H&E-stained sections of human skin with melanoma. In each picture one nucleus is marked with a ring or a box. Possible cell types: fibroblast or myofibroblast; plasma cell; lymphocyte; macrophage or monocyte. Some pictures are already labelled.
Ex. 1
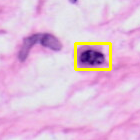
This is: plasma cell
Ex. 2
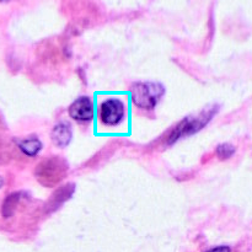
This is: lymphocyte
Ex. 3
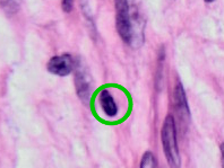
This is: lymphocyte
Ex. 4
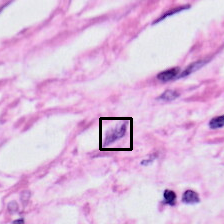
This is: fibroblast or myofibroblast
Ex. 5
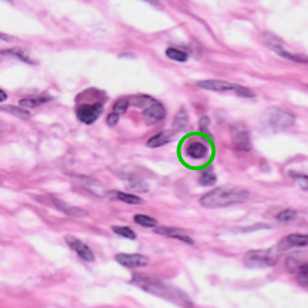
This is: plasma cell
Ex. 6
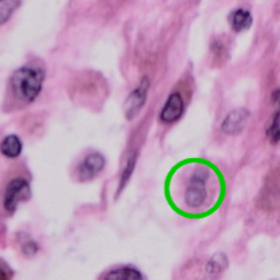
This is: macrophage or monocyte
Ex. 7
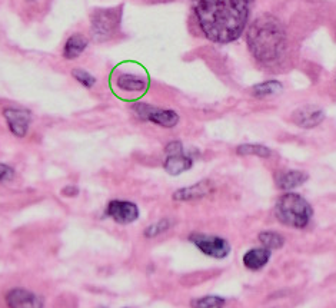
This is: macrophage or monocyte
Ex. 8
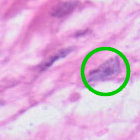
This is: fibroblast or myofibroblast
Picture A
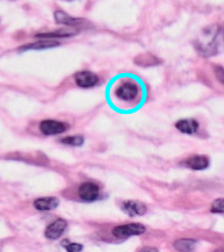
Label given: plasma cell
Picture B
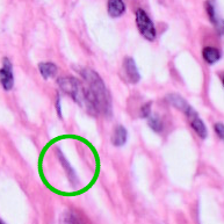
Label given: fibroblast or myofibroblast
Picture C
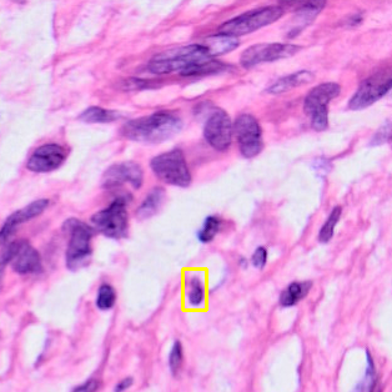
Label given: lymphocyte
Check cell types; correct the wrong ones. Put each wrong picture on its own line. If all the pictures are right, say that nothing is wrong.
Every label is right.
